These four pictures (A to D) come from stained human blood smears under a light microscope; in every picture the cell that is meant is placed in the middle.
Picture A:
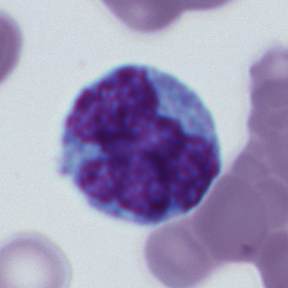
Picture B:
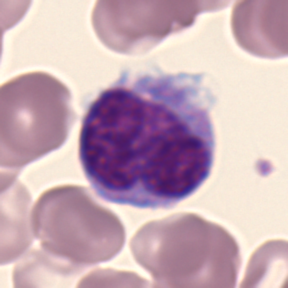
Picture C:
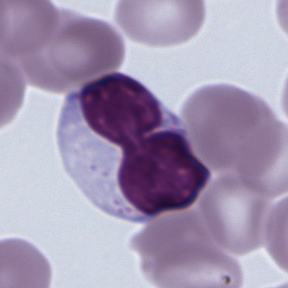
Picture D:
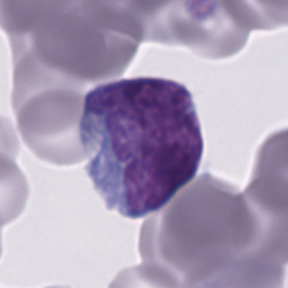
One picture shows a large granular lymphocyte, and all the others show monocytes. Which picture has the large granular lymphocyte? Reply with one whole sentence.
Picture C is the one that shows the large granular lymphocyte.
